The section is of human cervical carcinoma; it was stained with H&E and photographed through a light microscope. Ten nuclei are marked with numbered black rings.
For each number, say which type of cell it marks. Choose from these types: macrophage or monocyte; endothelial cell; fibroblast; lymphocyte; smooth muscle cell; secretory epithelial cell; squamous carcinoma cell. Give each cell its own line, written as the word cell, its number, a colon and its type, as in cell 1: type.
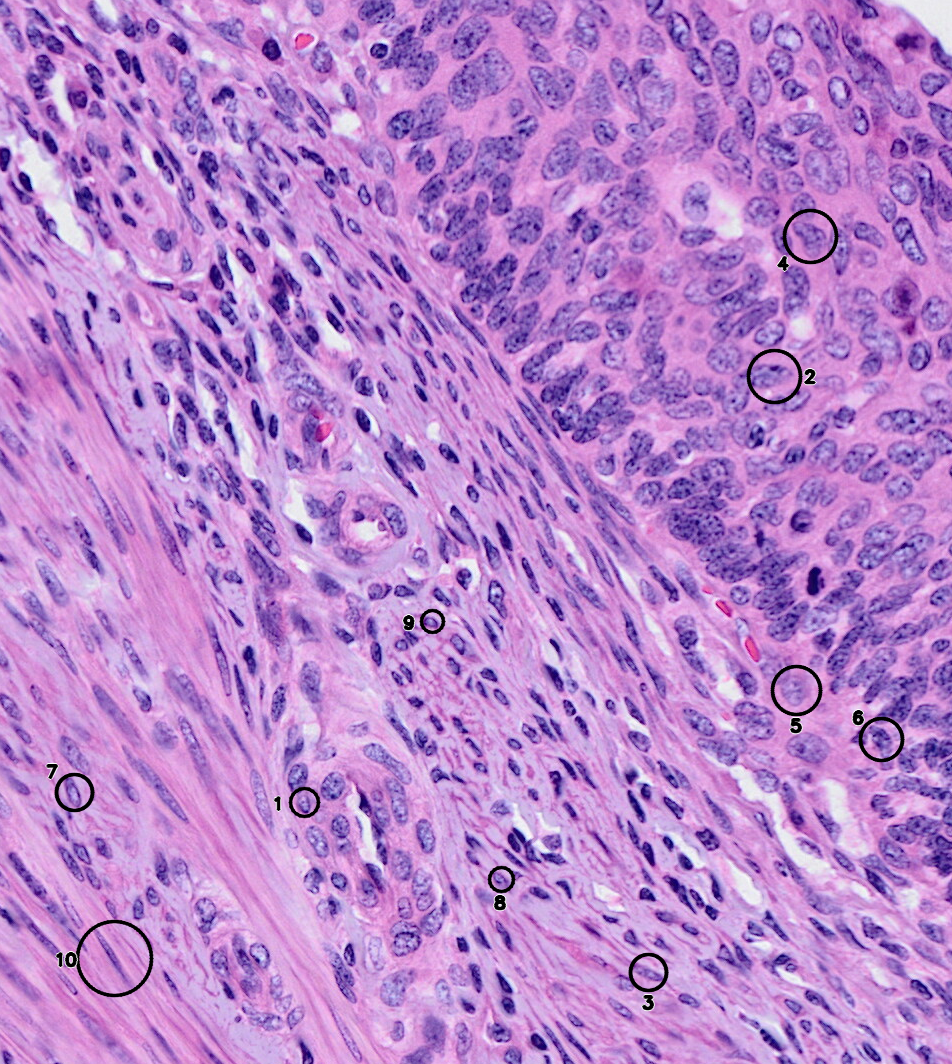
cell 1: smooth muscle cell
cell 2: squamous carcinoma cell
cell 3: smooth muscle cell
cell 4: squamous carcinoma cell
cell 5: endothelial cell
cell 6: lymphocyte
cell 7: smooth muscle cell
cell 8: smooth muscle cell
cell 9: smooth muscle cell
cell 10: smooth muscle cell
